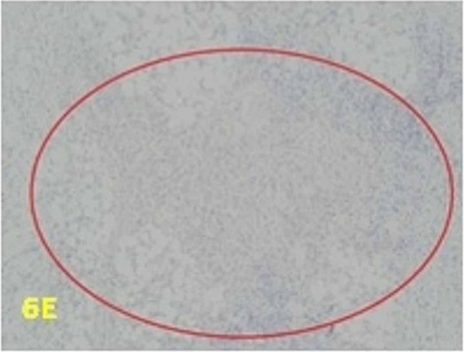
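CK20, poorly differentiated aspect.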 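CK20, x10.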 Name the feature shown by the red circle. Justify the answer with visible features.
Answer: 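Sheets of tumour cells. Inside the circle the cells form a solid, densely cellular area without glands. No brown staining is seen in the circled area.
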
